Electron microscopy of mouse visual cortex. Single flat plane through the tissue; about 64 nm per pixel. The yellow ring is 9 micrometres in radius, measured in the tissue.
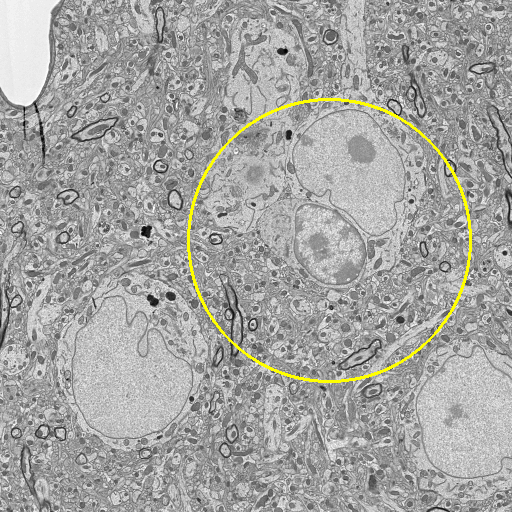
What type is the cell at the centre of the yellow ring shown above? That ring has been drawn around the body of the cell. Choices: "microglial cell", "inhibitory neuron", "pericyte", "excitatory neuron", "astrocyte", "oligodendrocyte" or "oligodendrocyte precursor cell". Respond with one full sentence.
My answer is that an oligodendrocyte lies at the centre of the yellow ring above.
